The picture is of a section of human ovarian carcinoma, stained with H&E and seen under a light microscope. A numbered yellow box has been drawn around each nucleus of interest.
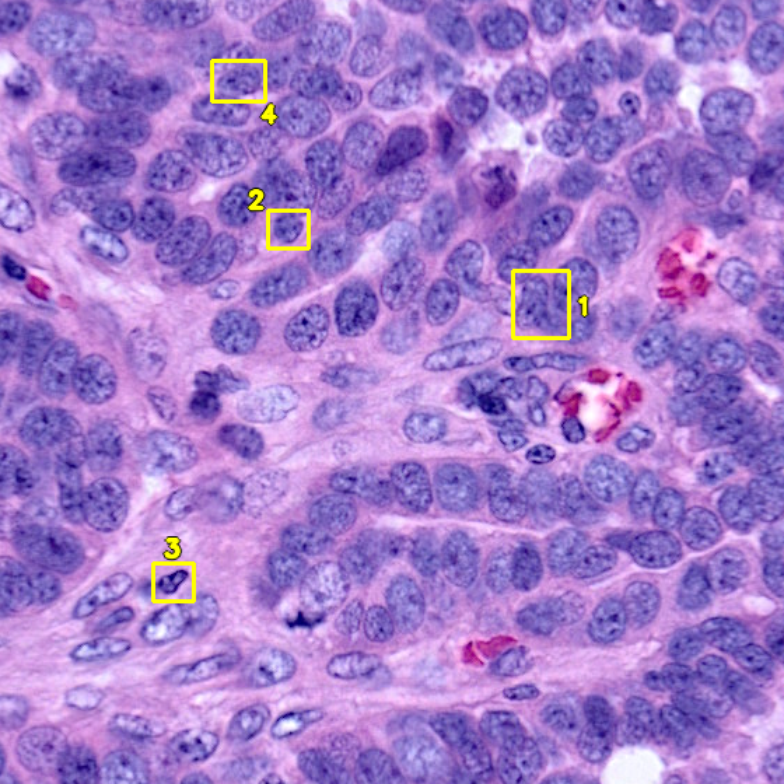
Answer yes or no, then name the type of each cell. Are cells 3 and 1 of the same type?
No, cell 1 is a carcinoma cell, but cell 3 is a lymphocyte.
